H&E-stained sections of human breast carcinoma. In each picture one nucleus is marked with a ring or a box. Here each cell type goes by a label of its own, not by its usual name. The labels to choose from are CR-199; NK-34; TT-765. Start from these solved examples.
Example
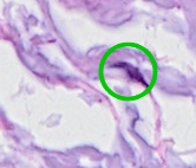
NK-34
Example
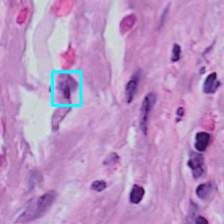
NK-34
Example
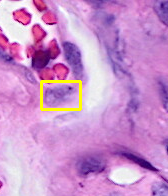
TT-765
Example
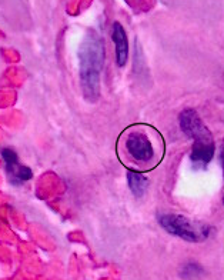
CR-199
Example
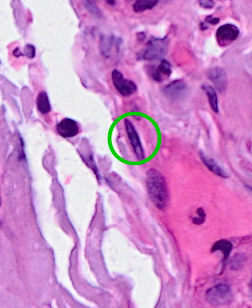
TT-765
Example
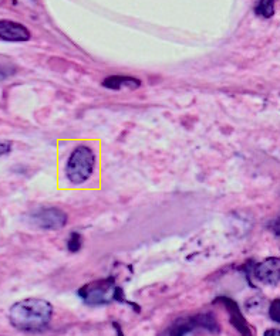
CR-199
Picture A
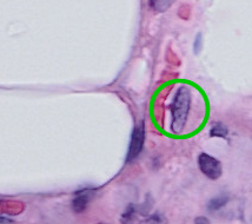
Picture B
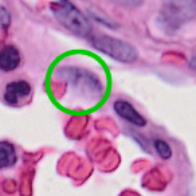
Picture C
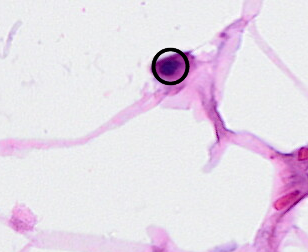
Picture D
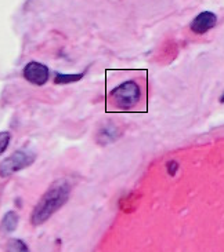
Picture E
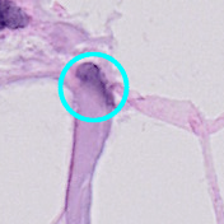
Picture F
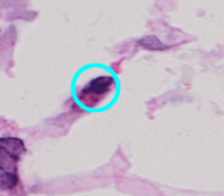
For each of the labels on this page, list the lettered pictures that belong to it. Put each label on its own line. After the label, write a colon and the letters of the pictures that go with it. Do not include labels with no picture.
CR-199: C, D
NK-34: E
TT-765: A, B, F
